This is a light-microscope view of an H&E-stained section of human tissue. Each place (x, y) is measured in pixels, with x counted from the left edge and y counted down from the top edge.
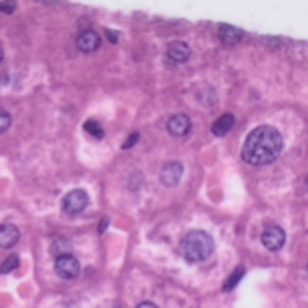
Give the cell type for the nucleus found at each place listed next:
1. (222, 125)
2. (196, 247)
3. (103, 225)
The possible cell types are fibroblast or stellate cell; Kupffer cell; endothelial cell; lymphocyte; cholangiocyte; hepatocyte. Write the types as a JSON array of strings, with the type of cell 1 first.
["fibroblast or stellate cell", "hepatocyte", "endothelial cell"]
